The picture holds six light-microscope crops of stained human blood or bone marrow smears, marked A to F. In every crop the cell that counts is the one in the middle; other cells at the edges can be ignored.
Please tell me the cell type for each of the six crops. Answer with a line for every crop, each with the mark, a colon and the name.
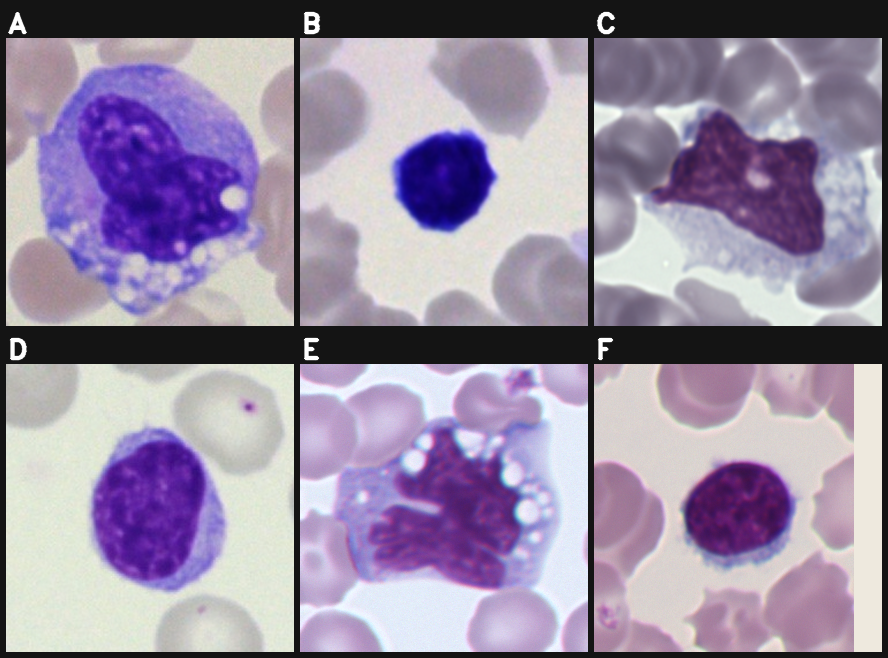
A: monocyte
B: lymphocyte
C: monocyte
D: lymphocyte
E: monocyte
F: hairy cell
